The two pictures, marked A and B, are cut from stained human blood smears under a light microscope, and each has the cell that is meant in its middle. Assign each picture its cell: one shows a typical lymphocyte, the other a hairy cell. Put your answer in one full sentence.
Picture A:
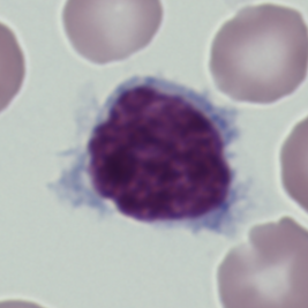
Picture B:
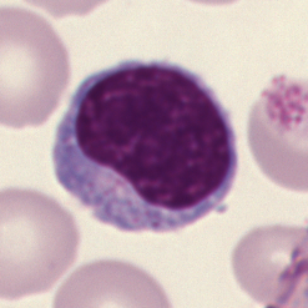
Picture B shows a typical lymphocyte, while picture A shows a hairy cell.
